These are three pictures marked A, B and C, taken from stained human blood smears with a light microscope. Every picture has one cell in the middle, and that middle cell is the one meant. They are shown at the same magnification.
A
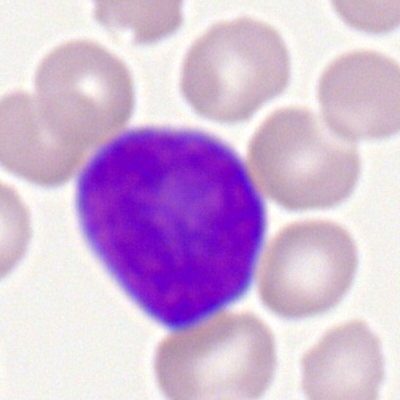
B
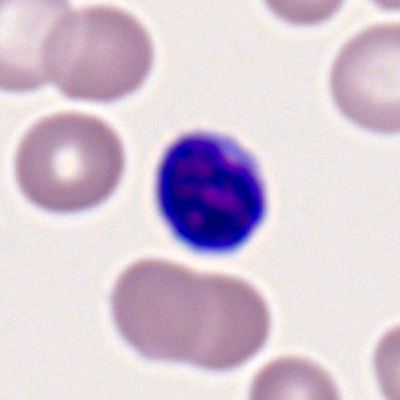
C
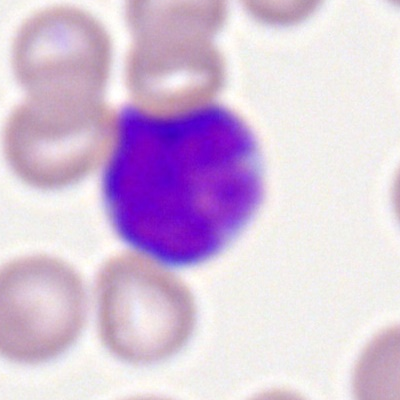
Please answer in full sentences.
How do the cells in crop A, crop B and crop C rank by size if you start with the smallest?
Smallest first: B, C, A.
